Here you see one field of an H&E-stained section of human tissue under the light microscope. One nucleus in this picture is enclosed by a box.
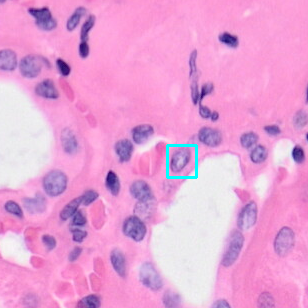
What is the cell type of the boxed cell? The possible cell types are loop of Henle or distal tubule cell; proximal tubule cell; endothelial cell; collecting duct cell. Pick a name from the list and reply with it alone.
collecting duct cell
